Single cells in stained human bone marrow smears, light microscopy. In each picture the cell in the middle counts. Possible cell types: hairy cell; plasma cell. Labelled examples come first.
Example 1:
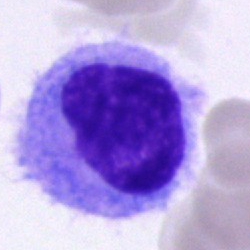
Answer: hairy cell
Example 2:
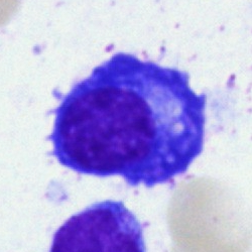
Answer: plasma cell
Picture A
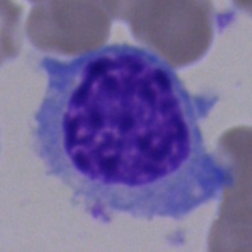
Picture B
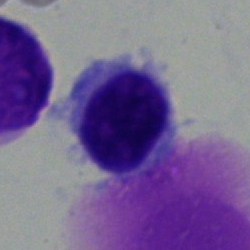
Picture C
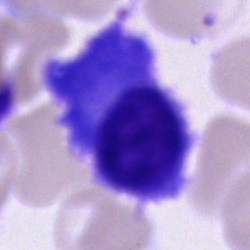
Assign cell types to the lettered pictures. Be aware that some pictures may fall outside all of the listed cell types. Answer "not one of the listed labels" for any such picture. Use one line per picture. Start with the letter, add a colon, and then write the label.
A: hairy cell
B: hairy cell
C: plasma cell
